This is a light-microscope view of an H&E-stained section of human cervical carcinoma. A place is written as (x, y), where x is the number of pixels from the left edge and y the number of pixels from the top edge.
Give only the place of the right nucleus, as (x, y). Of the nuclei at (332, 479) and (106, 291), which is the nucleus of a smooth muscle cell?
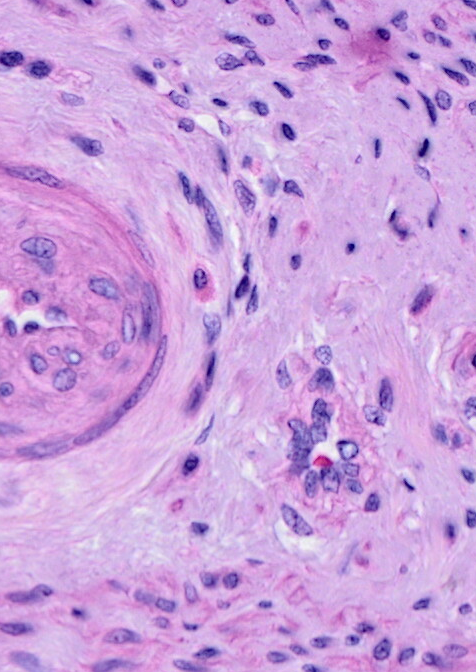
(106, 291)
